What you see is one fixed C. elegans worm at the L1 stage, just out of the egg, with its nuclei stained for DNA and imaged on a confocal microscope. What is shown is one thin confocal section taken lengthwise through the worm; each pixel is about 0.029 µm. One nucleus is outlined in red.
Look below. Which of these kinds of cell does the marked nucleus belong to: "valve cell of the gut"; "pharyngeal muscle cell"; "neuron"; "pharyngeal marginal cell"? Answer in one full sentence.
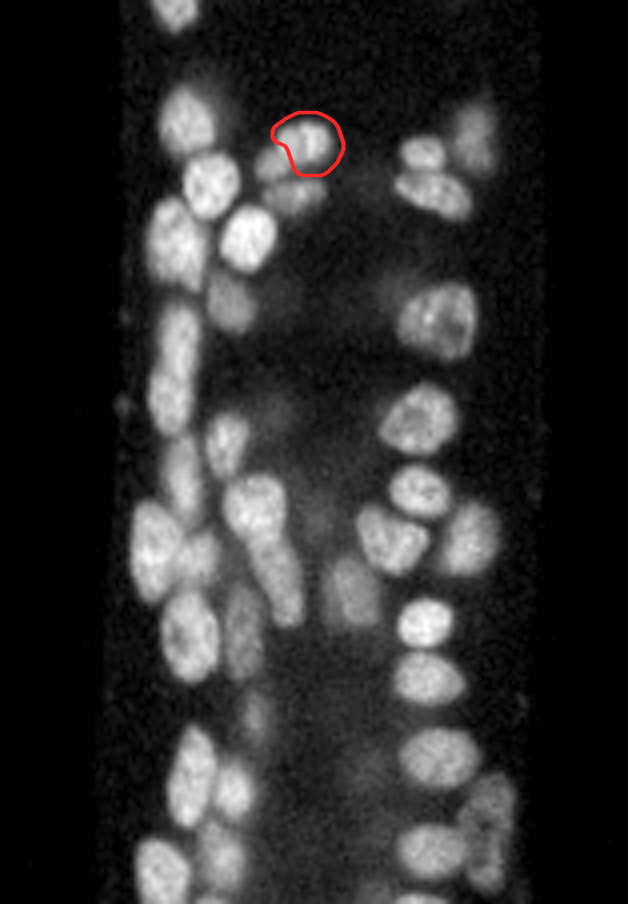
It is the nucleus of a valve cell of the gut.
